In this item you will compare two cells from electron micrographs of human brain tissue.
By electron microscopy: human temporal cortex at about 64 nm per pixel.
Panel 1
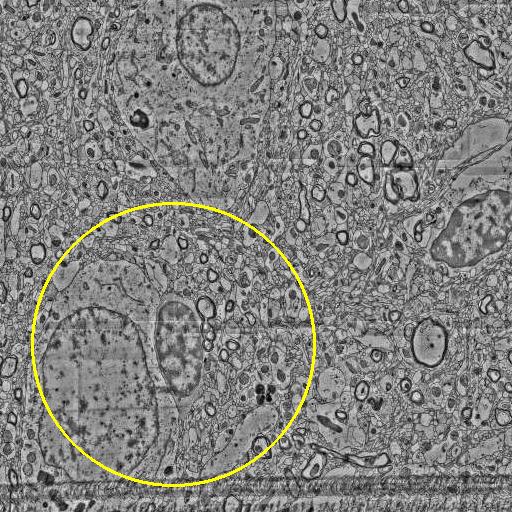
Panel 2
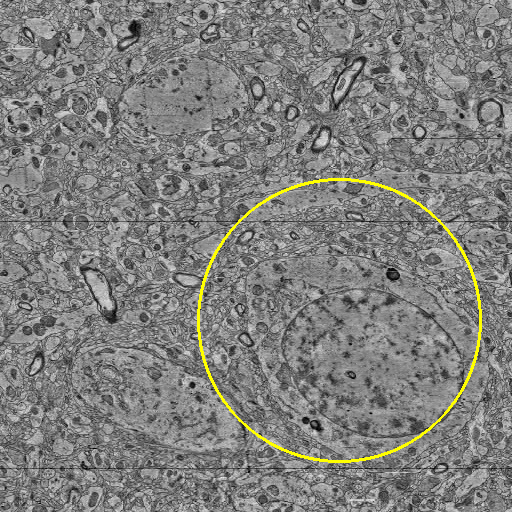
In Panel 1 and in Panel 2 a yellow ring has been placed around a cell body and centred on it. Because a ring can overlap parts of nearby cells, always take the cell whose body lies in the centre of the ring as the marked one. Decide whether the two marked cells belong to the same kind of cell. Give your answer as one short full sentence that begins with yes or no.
No, the two marked cells belong to two kinds of cell.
